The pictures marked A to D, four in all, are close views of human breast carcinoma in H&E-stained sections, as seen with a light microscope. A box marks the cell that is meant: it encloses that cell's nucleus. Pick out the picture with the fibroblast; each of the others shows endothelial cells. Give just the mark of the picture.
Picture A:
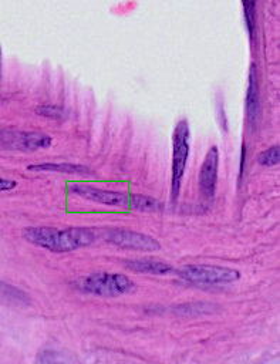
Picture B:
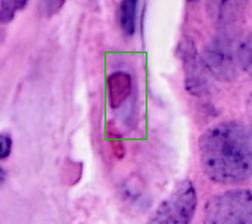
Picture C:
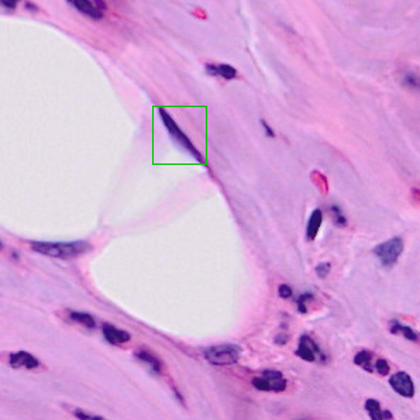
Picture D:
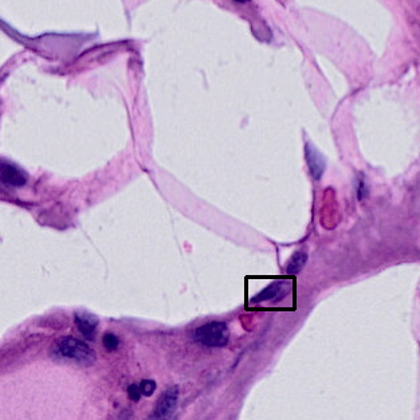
C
